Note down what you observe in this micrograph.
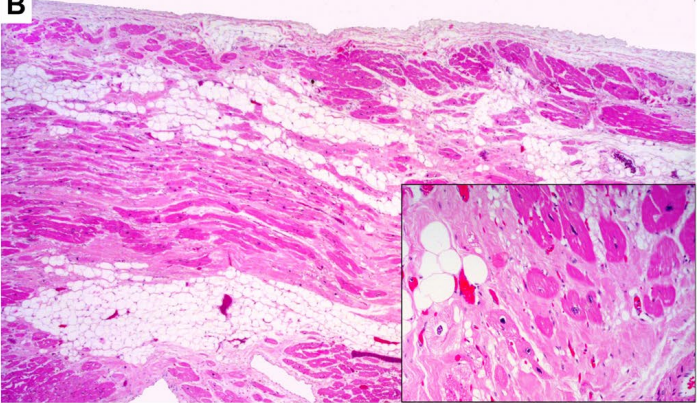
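This is the heart wall where fat cells are admixed with fibrous collagen and with bundles of heart muscle. The fat appears as groups of clear, empty rounded cells, while muscle bundles stain a deeper pink and run in streams beneath the thin surface layer. Between them, paler pink fibrous tissue wraps around both the fat lobules and the muscle. In the inset at higher power, individual muscle fibres sit isolated in this fibrous background, of uneven size and some shrunken, with central nuclei, next to a few fat cells and small red blood vessels, a picture of fibres degenerating.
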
